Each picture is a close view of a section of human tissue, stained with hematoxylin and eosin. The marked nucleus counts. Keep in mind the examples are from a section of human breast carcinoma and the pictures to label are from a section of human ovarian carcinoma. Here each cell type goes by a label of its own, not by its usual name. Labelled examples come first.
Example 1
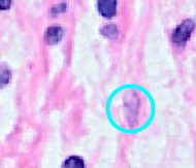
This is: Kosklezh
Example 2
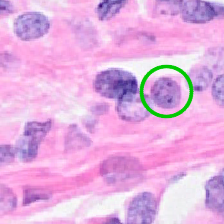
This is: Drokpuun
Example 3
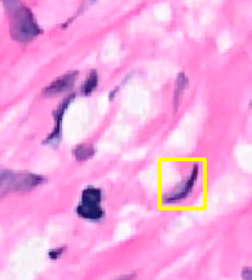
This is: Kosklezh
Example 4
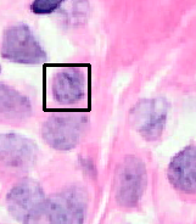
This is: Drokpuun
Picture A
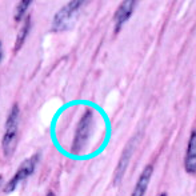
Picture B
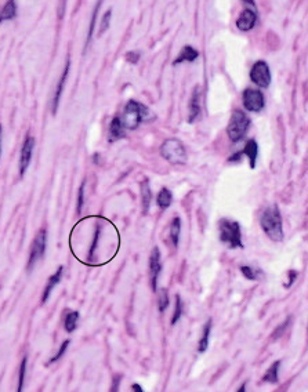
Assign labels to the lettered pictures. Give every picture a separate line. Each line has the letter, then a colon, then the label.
A: Kosklezh
B: Kosklezh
